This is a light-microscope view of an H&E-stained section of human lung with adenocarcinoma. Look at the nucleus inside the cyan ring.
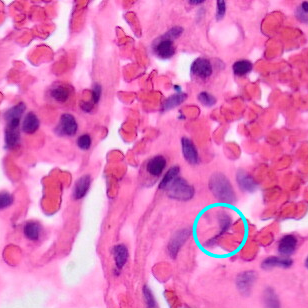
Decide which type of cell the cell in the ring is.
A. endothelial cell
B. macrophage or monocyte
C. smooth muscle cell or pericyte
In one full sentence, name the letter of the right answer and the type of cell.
The right pick is option A; the cell in the ring is an endothelial cell.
